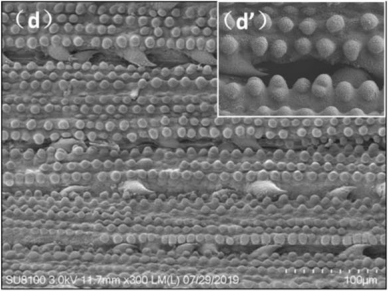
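The leaf surface is crowded with small rounded, knob-like projections arranged in tight parallel rows, with a few spindle-shaped outgrowths scattered between them. The pores of the stomata are barely visible, sunk between the rows of knobs; the enlarged inset shows one such slit-like opening overhung by the surrounding projections.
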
